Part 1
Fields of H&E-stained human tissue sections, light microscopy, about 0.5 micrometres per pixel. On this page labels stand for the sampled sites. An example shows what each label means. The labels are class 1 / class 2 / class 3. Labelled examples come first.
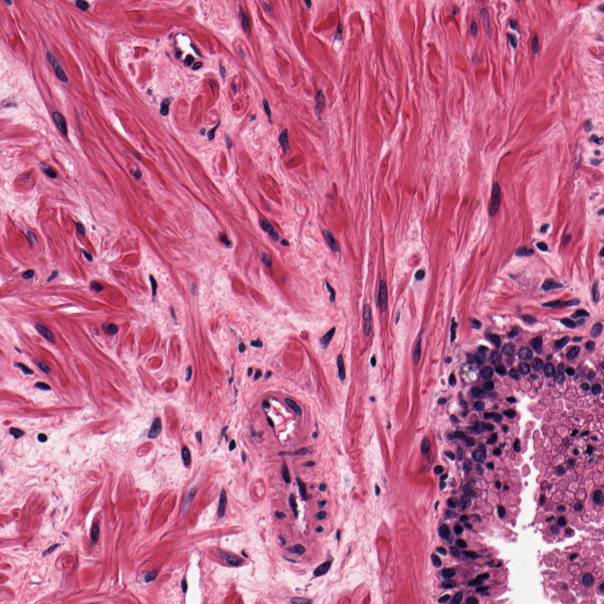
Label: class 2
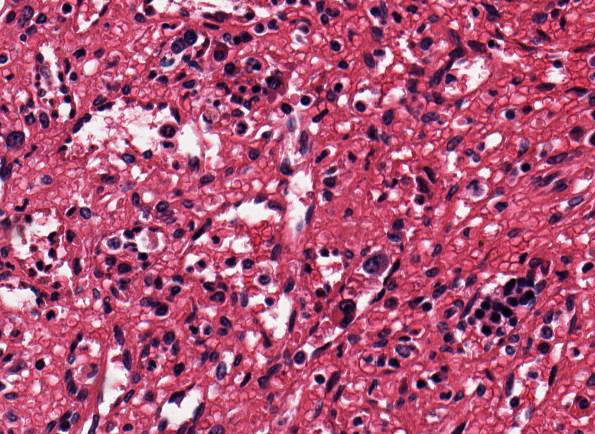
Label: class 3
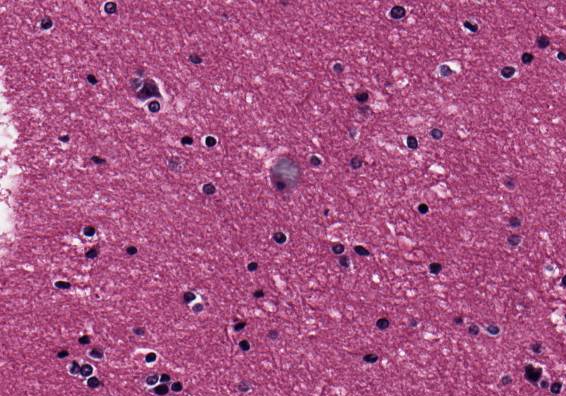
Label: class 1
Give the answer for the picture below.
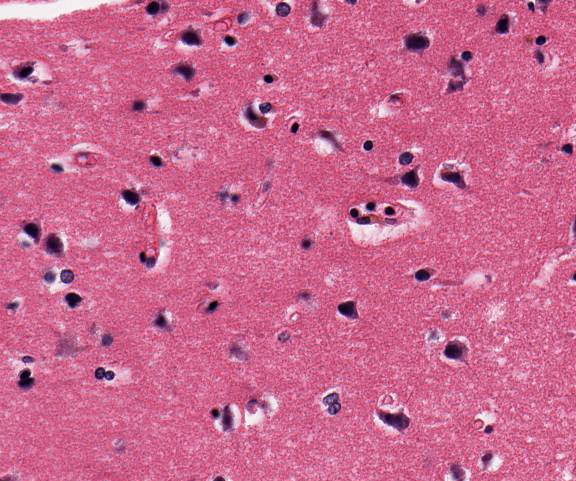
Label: class 1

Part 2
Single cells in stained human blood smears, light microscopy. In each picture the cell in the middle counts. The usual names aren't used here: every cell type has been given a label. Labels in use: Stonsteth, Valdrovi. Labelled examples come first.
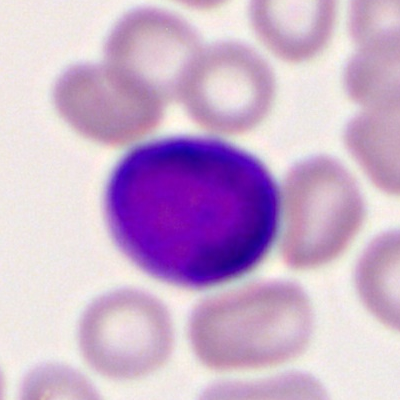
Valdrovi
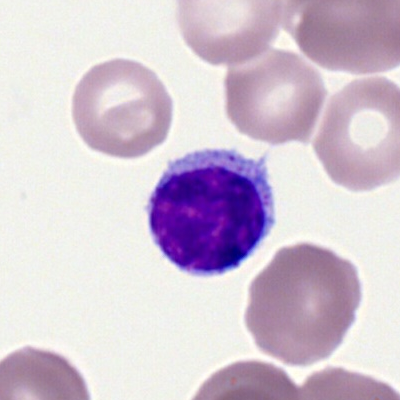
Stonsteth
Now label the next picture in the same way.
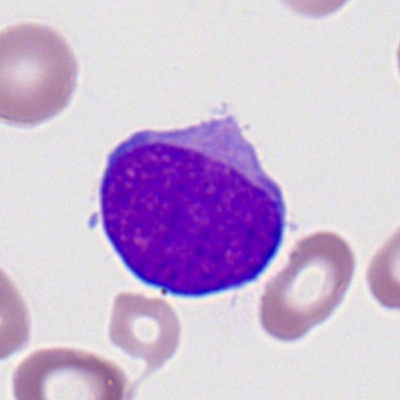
Valdrovi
